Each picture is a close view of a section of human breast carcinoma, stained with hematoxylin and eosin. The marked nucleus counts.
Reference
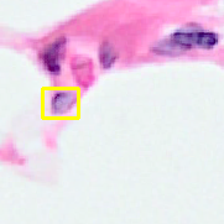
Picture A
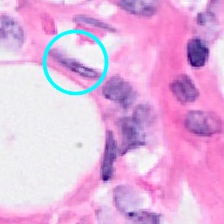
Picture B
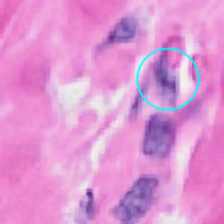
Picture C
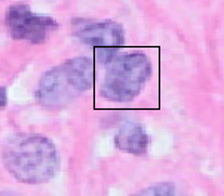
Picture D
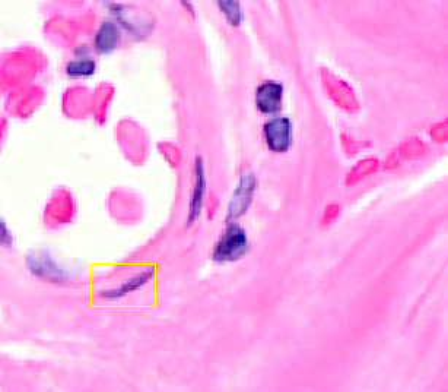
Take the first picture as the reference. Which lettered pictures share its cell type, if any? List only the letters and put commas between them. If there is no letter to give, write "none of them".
A, B, D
